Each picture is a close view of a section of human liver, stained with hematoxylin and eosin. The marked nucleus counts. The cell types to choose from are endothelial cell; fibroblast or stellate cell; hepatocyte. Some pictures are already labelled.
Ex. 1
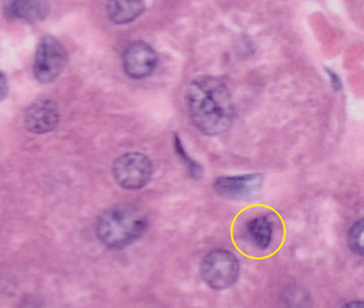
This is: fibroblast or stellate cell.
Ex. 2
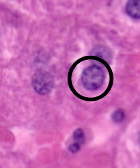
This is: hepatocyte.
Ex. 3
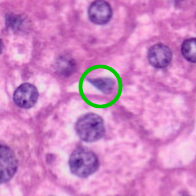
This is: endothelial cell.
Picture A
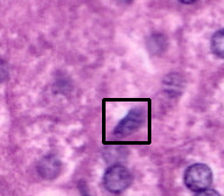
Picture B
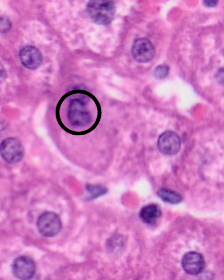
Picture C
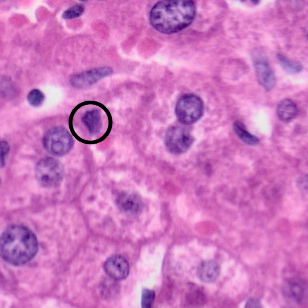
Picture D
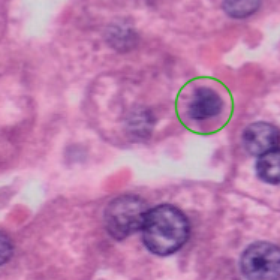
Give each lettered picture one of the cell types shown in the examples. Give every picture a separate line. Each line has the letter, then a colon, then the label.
A: endothelial cell.
B: hepatocyte.
C: fibroblast or stellate cell.
D: fibroblast or stellate cell.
